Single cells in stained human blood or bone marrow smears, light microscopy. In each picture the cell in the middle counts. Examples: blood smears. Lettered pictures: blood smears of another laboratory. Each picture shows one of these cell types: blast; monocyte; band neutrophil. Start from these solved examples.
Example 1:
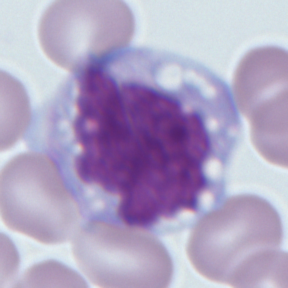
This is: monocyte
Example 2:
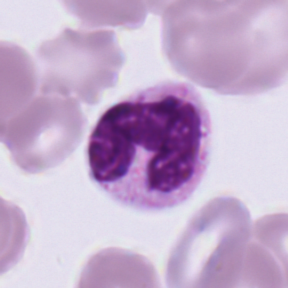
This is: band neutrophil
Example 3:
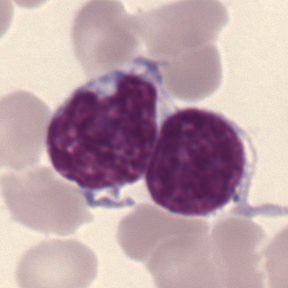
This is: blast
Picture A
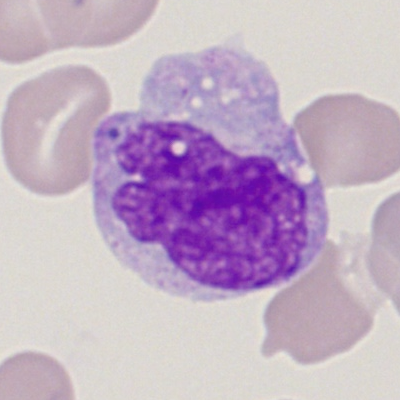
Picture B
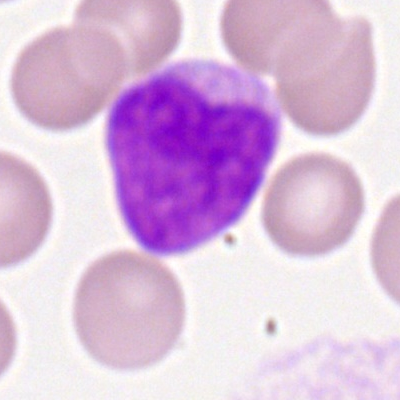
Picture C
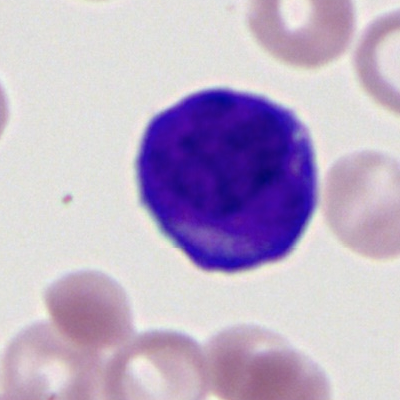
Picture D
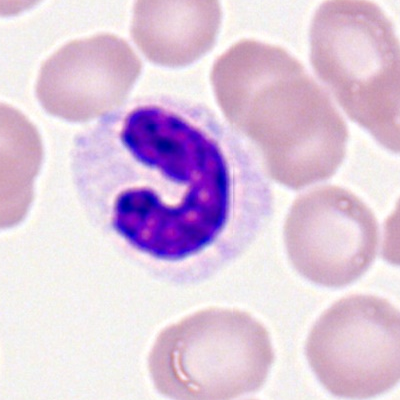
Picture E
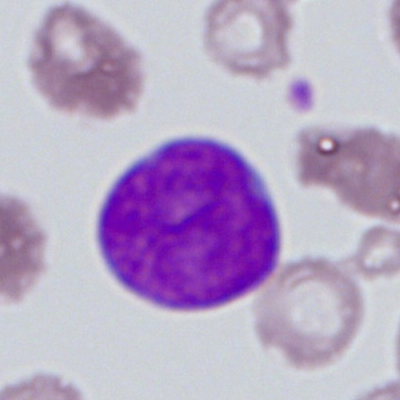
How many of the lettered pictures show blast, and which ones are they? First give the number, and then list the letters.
3, namely B, C, E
